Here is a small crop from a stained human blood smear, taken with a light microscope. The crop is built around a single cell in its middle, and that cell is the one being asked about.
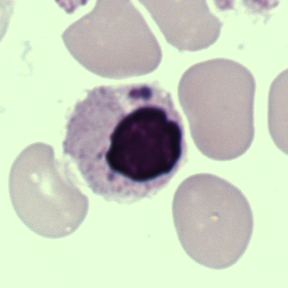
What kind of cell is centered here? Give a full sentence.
The cell found in the middle of this crop is a normoblast.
